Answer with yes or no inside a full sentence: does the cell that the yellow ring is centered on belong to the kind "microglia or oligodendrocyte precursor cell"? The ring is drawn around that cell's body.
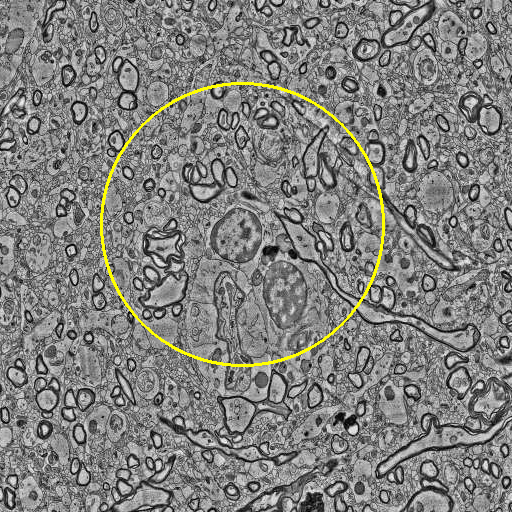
Yes, that kind describes the cell the yellow ring is centered on in the picture.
